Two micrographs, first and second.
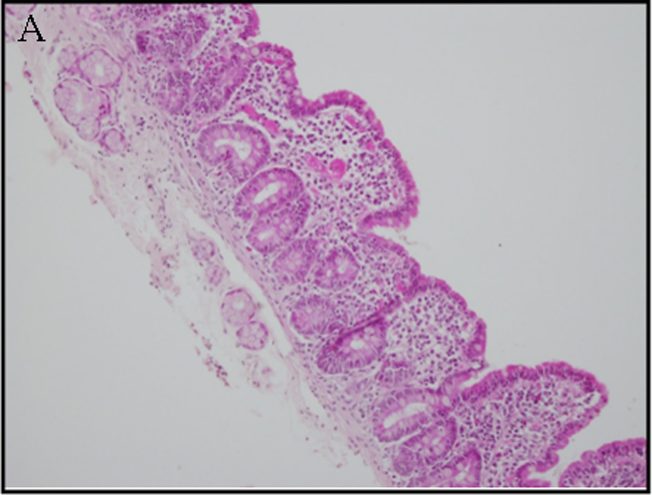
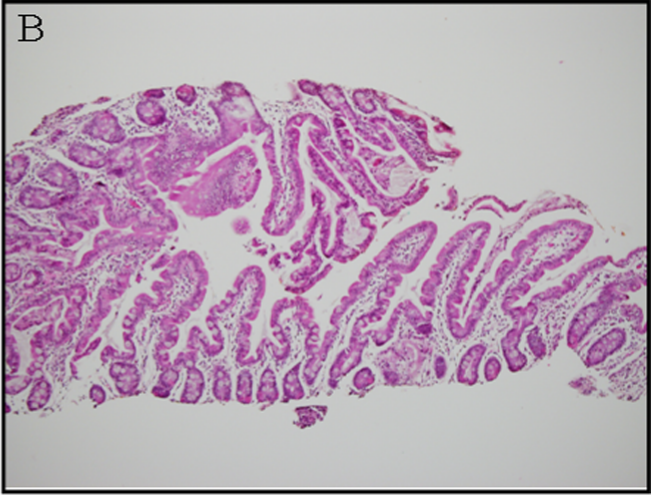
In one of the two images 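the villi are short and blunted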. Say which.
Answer: the first image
